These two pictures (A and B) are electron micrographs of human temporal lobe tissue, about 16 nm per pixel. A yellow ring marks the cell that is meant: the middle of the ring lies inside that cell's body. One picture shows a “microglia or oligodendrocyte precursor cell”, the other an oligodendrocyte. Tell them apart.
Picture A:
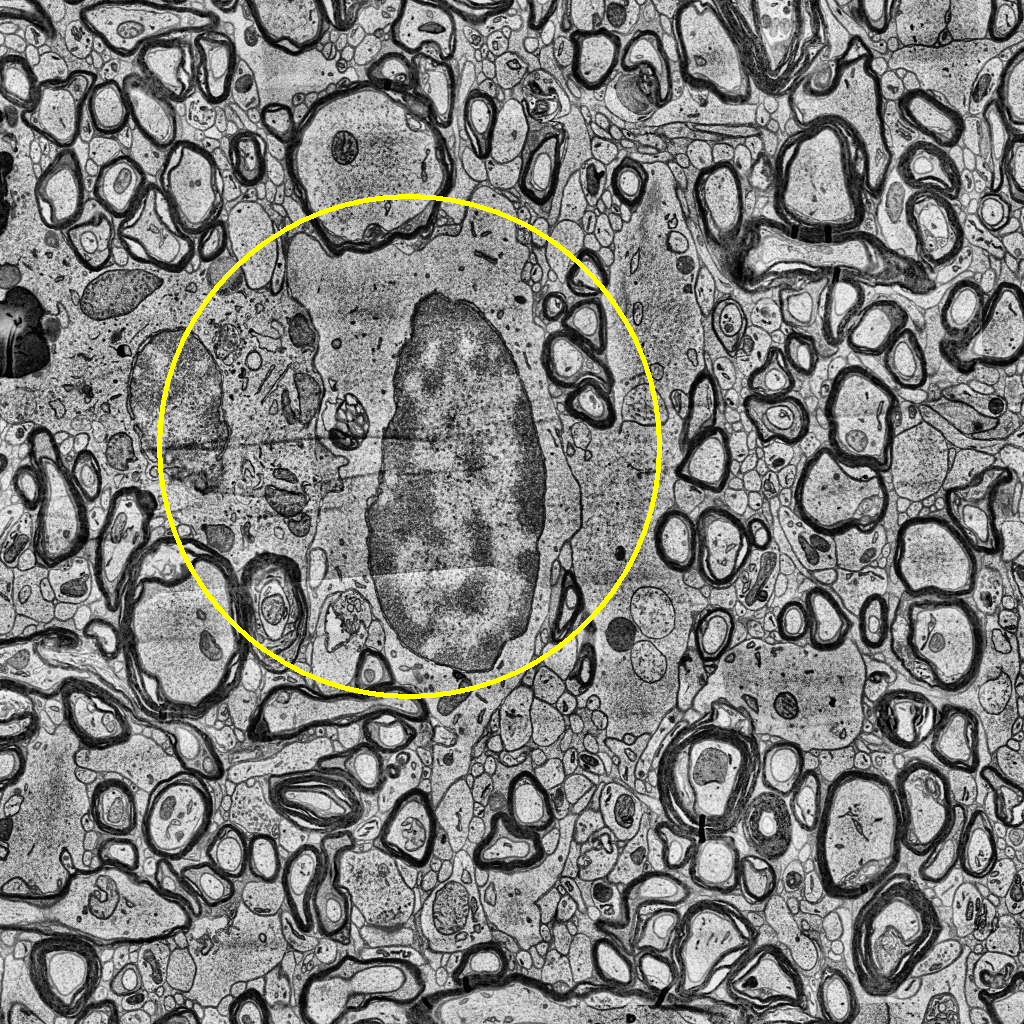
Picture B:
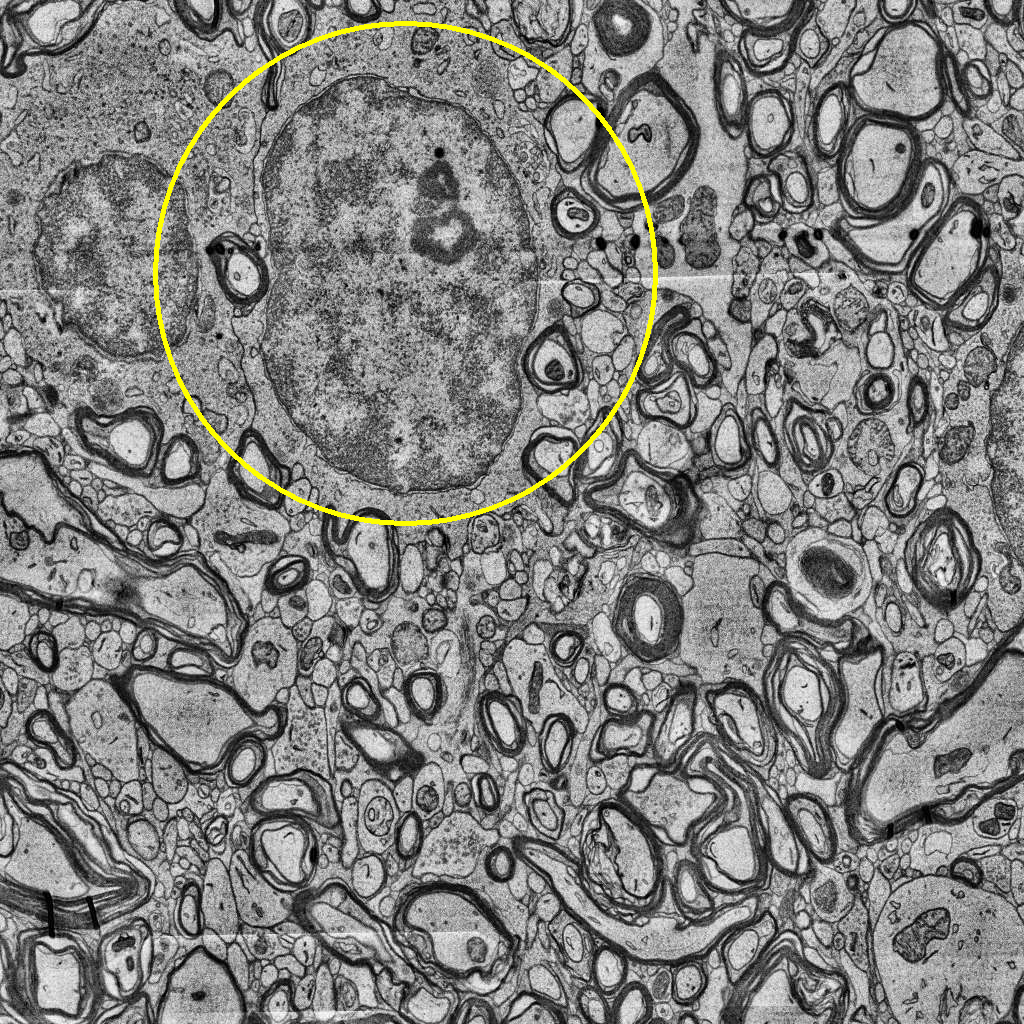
In picture A the cell is a “microglia or oligodendrocyte precursor cell”; in picture B, an oligodendrocyte.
